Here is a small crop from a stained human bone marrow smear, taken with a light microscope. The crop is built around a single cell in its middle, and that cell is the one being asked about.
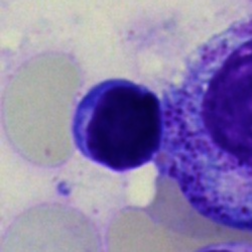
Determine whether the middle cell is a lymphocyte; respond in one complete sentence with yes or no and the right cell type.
Yes, the cell that is in the middle is a lymphocyte.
